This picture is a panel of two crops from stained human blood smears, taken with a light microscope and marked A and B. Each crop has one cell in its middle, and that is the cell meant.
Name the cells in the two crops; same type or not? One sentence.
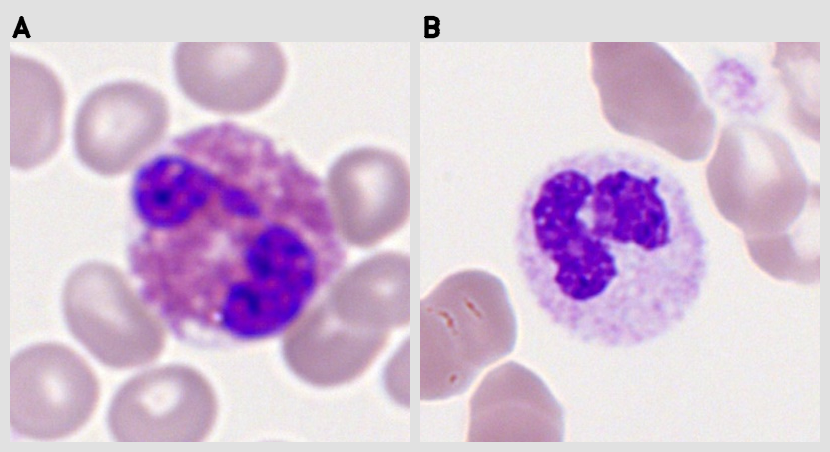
No, crop A has an eosinophil at its center, and crop B has a segmented neutrophil.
